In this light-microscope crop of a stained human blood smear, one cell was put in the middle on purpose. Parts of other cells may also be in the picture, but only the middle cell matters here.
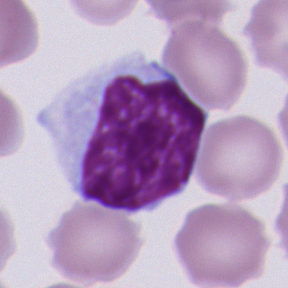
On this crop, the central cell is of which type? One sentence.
For this crop, the cell in the middle is a lymphocyte.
